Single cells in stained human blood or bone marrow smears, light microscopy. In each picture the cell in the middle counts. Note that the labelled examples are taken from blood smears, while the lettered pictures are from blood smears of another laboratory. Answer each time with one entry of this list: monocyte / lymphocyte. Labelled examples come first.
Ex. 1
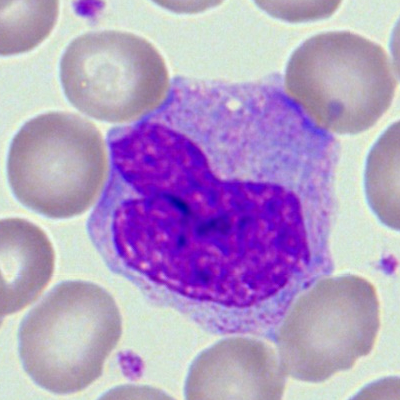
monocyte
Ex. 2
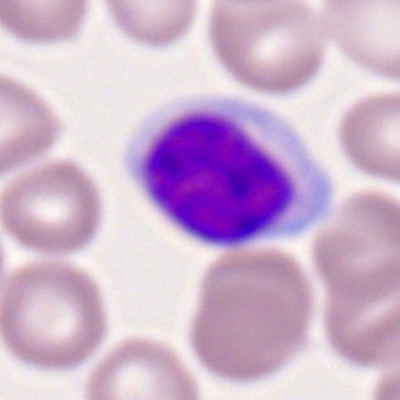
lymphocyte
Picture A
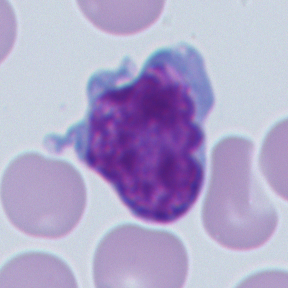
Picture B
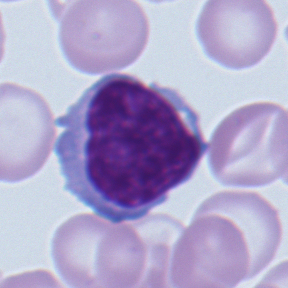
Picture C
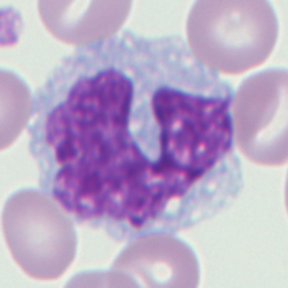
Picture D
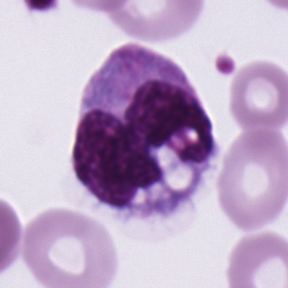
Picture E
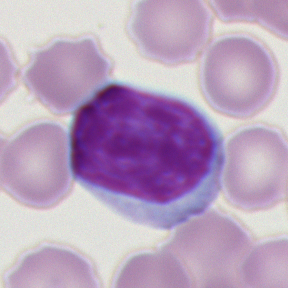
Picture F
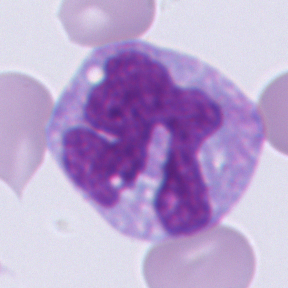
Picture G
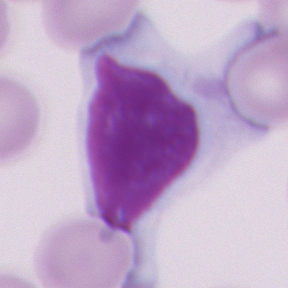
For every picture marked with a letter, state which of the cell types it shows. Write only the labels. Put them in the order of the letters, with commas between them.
lymphocyte, lymphocyte, monocyte, monocyte, lymphocyte, monocyte, lymphocyte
